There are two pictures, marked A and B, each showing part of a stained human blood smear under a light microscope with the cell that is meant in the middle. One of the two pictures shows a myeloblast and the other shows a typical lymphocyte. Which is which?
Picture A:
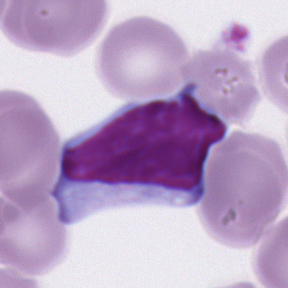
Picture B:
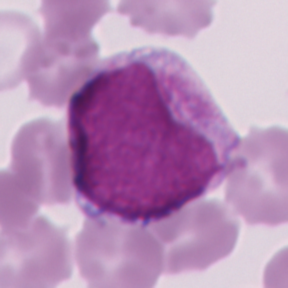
A: typical lymphocyte
B: myeloblast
